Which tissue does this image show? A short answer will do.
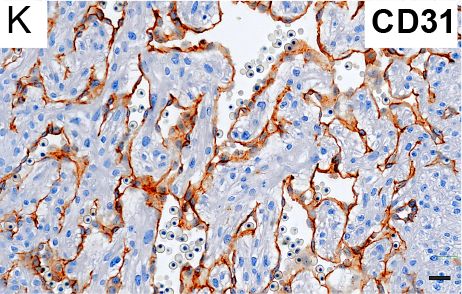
Heart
